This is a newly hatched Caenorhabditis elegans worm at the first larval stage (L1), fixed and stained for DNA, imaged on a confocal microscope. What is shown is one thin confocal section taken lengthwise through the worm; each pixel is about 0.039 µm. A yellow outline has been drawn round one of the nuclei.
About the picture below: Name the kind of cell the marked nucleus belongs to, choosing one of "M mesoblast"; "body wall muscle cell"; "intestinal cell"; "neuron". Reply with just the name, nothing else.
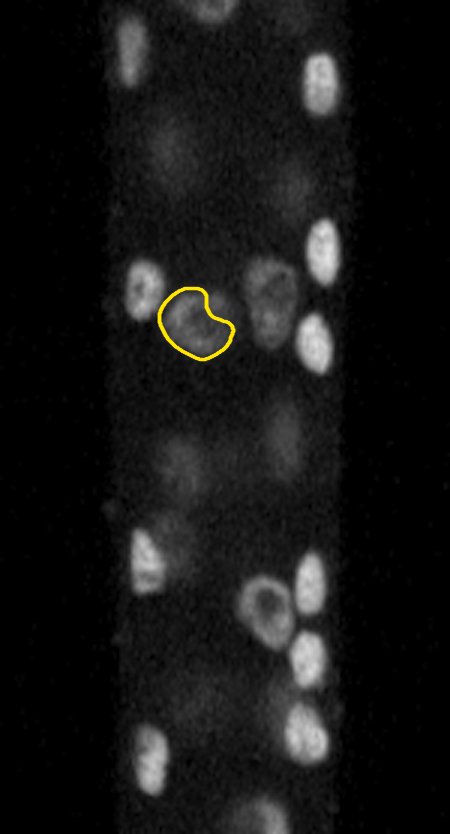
M mesoblast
